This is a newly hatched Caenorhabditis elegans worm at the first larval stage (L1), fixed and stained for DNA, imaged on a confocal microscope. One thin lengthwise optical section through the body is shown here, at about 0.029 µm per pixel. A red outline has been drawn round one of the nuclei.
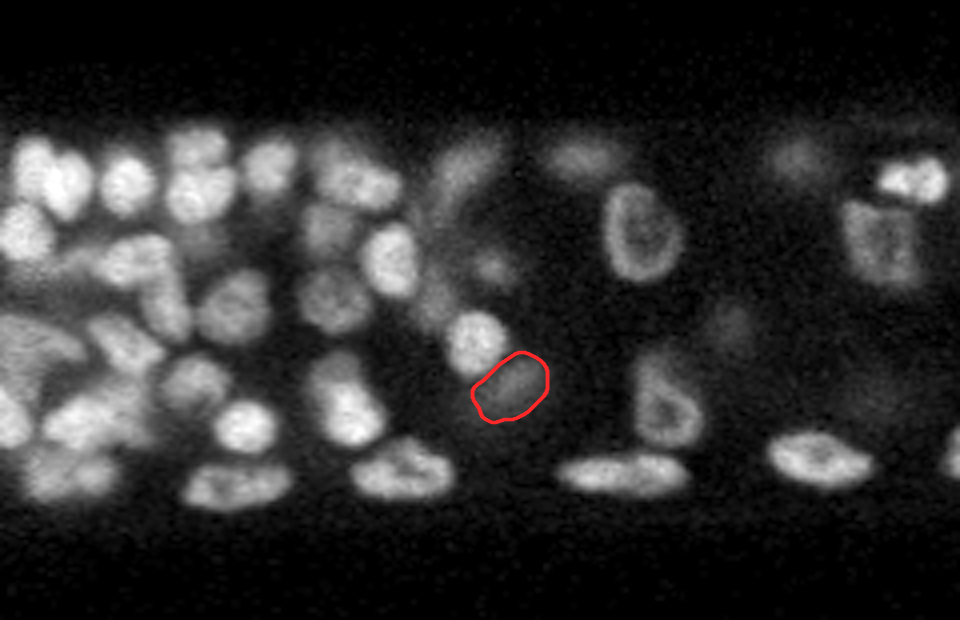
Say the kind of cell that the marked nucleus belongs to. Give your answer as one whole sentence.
The marked nucleus is that of a valve cell of the gut.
